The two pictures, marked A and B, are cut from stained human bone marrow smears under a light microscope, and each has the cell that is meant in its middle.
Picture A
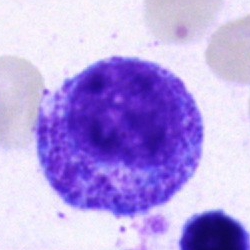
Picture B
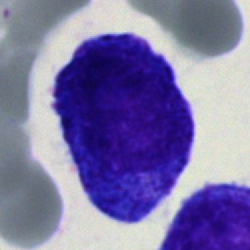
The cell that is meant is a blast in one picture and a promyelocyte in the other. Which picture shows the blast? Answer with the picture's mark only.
B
